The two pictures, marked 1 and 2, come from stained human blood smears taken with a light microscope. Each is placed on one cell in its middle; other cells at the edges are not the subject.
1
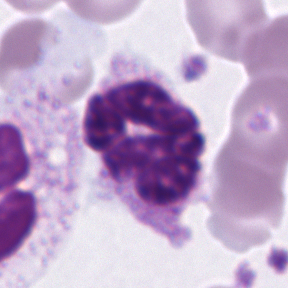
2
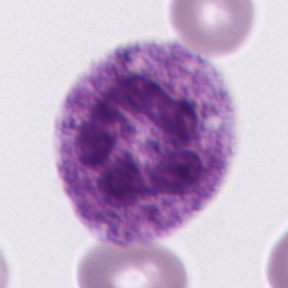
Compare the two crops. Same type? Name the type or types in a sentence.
No, it is crop 1 that shows a neutrophil, and crop 2 that shows an eosinophil.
